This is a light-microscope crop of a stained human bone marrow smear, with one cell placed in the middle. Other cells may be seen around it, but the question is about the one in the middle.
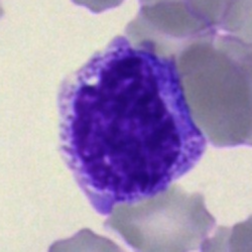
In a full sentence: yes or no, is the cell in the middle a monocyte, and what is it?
No, the cell in the middle is categorised as a myelocyte, not a monocyte.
